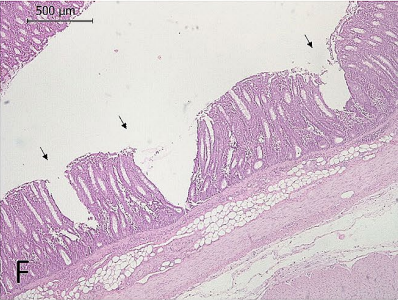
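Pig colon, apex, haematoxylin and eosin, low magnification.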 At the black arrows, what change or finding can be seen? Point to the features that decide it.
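The mucosa is broken into separate blocks with wide gaps between them. The arrowed sites have no intact surface epithelium.
Severe necrosis of the epithelium.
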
